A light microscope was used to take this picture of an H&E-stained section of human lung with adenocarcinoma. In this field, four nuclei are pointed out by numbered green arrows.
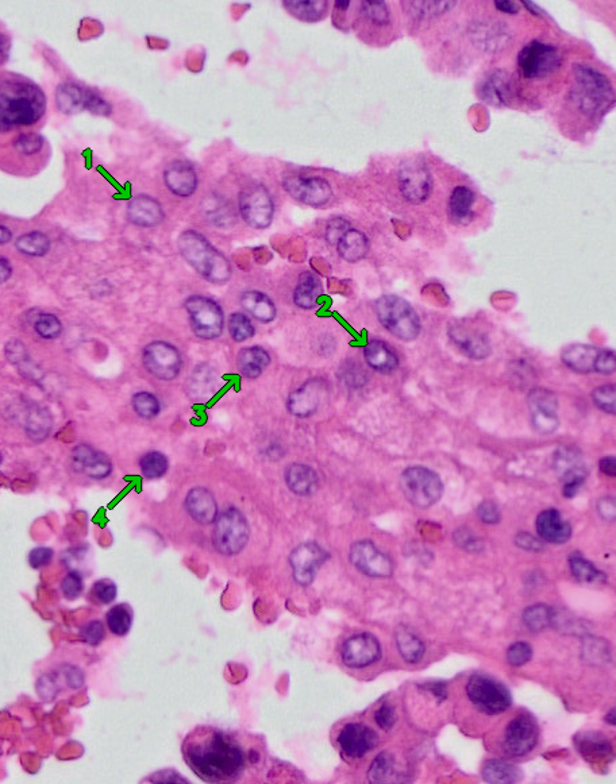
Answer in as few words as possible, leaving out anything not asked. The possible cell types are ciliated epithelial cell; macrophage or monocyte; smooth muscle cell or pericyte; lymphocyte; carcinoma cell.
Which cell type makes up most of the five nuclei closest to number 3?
macrophage or monocyte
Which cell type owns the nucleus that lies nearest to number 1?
macrophage or monocyte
